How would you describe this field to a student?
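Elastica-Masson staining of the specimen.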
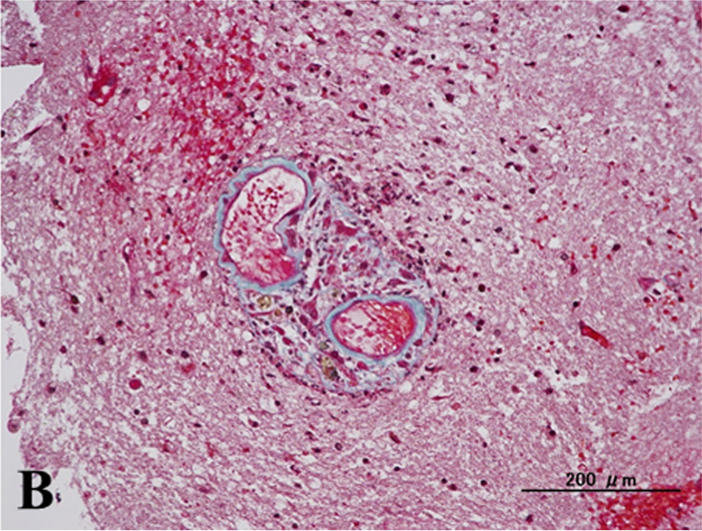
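Two vessel profiles in the center are ringed by wide, wavy blue-green walls, their lumina filled with red material. Between and around them lie cells with dark nuclei and a few golden-brown granules. A large irregular bright red area spreads through the pale surrounding tissue above and to the left of the vessels.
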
